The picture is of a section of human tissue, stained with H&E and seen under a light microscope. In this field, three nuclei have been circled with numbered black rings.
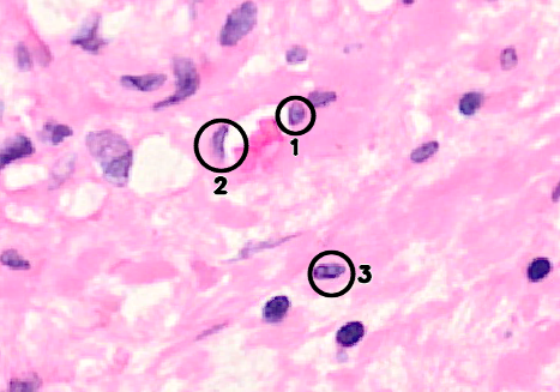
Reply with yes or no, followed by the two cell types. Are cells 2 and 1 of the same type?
Yes, in terms of cell type, cells 2 and 1 are both endothelial cells.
